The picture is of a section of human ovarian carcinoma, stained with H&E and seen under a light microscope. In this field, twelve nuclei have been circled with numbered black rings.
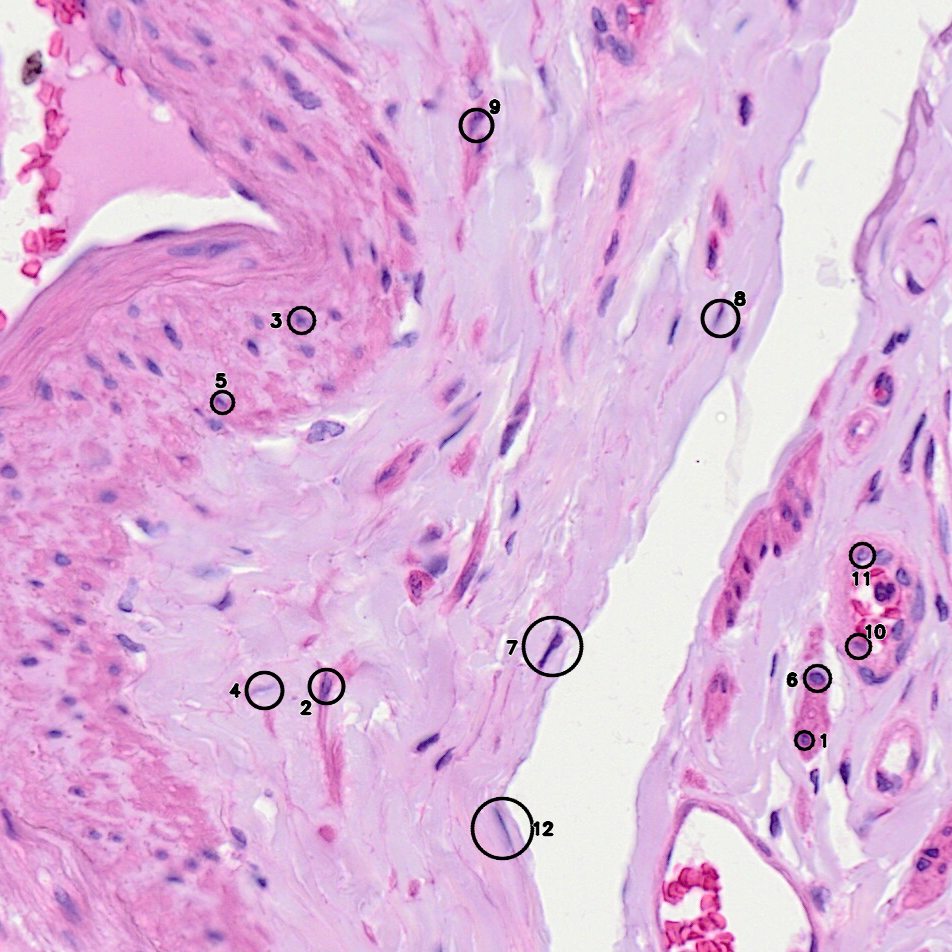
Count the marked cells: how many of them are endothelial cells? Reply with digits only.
2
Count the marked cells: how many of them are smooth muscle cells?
6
